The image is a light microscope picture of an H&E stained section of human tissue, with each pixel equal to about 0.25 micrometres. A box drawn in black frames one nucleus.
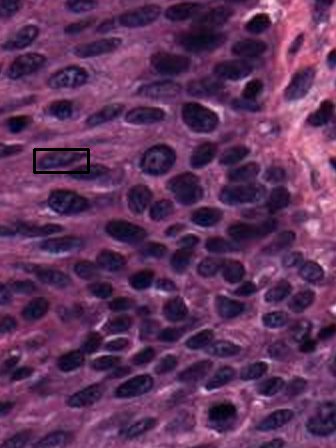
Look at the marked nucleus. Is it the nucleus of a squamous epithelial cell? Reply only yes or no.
yes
